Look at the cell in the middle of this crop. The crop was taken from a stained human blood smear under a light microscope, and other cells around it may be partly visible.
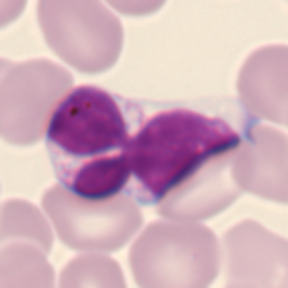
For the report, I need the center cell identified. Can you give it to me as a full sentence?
The crop centres on a single cell, and that cell is a large granular lymphocyte.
